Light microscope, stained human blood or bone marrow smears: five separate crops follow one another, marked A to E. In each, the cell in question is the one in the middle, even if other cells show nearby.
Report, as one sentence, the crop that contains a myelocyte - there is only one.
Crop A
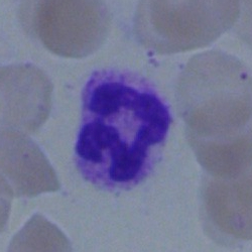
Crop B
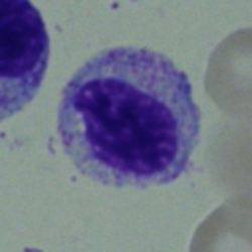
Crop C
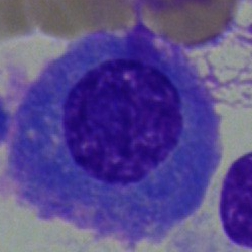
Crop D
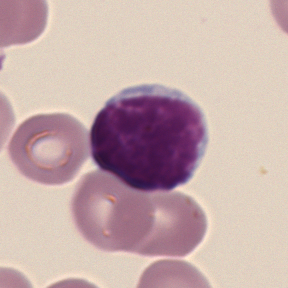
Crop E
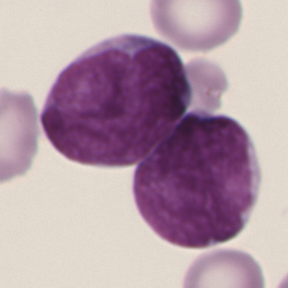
Crop B is the one to choose: it shows a myelocyte.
